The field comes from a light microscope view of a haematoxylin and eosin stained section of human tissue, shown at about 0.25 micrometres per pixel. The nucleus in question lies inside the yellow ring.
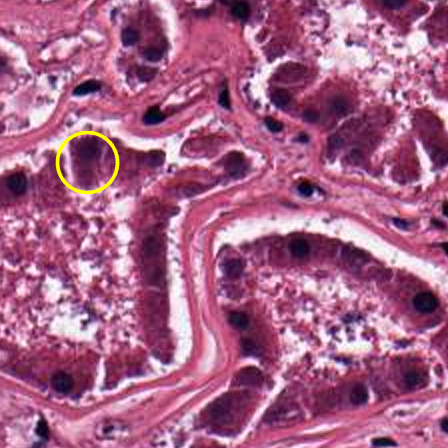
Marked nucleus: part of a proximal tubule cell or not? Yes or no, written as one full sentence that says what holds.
Yes, the cell to which the marked nucleus belongs is a proximal tubule cell.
